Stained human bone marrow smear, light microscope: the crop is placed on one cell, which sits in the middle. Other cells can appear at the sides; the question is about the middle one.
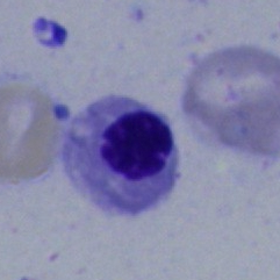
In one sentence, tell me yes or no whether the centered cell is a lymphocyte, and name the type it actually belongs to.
No, the central cell is not a lymphocyte, being instead an erythroblast.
